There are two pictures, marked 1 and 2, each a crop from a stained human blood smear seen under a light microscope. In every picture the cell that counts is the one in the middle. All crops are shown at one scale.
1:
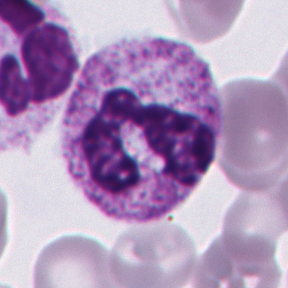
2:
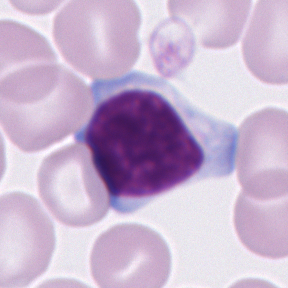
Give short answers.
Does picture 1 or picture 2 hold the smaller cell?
2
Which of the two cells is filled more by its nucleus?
2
